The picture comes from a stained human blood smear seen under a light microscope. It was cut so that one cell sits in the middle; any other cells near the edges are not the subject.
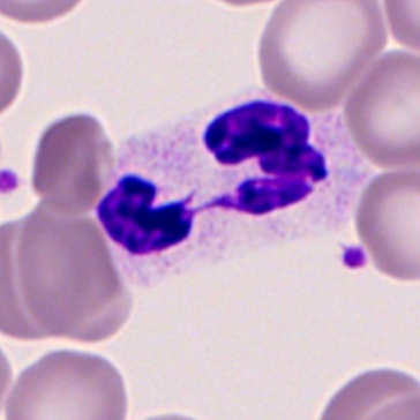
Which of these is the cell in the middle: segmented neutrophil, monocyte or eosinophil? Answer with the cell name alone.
segmented neutrophil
